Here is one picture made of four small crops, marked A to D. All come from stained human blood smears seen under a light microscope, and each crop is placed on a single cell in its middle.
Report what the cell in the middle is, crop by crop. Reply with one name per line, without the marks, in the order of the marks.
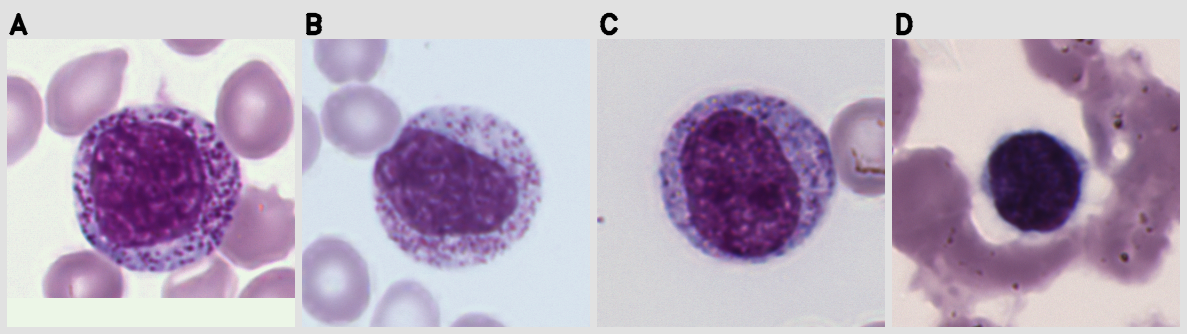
myelocyte
myelocyte
myelocyte
hairy cell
